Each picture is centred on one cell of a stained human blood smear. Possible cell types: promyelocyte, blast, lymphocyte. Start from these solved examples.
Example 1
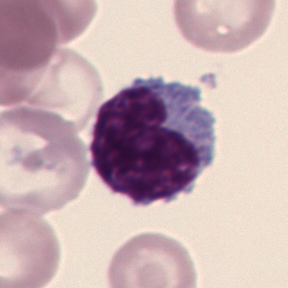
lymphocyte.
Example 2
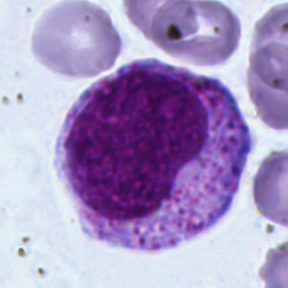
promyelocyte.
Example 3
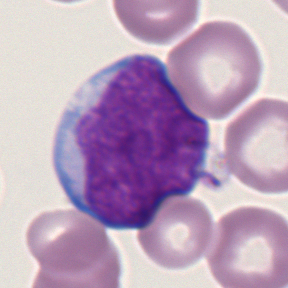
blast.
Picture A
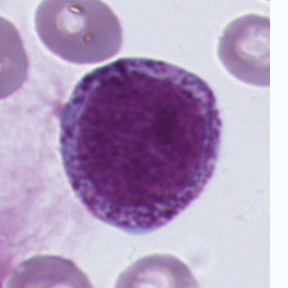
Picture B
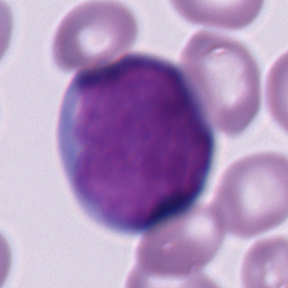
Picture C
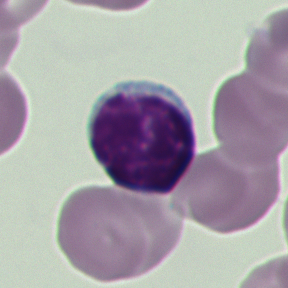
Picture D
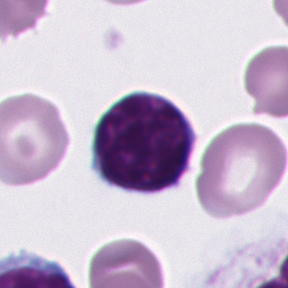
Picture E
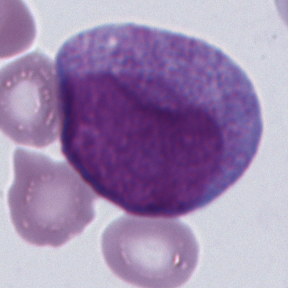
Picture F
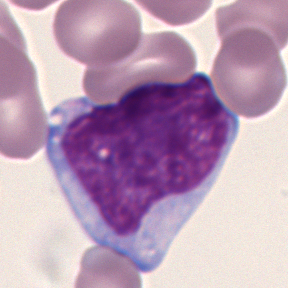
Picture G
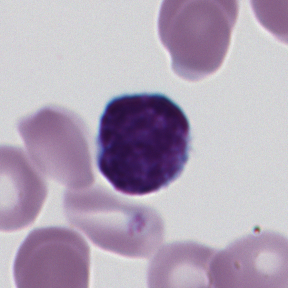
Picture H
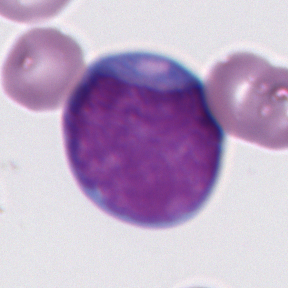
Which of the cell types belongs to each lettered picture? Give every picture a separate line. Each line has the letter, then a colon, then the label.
A: promyelocyte.
B: blast.
C: lymphocyte.
D: lymphocyte.
E: promyelocyte.
F: blast.
G: lymphocyte.
H: blast.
